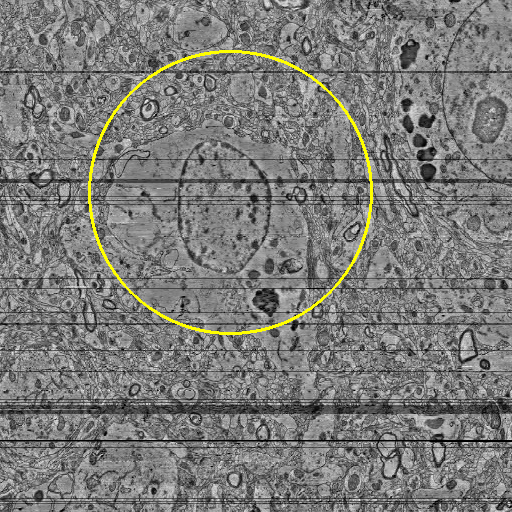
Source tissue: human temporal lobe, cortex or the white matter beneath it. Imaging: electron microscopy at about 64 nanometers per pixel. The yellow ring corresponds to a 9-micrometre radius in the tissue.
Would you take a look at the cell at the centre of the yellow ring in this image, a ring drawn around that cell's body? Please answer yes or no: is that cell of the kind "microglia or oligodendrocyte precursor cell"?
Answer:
no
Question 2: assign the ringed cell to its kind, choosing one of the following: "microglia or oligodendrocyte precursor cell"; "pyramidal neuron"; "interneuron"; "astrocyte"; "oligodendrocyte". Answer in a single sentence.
Instead, the picture shows an astrocyte at the centre of the ring.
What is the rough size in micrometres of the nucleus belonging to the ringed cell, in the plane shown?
In this plane, approximately 9 by 6 micrometers.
